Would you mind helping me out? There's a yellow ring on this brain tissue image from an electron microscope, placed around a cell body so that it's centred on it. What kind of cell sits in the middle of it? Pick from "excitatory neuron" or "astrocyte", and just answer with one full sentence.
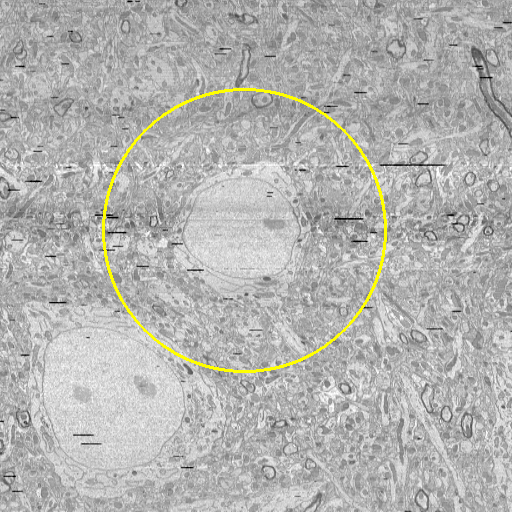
What sits in the middle of that yellow ring is an excitatory neuron, from your choices.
